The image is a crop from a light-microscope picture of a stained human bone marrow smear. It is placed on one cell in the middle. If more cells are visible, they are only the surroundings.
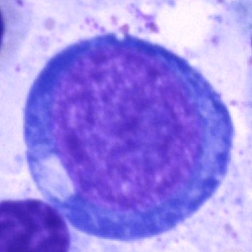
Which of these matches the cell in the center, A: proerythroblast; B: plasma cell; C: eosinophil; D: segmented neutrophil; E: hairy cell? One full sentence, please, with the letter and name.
Option A is correct; the cell in the middle is a proerythroblast.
